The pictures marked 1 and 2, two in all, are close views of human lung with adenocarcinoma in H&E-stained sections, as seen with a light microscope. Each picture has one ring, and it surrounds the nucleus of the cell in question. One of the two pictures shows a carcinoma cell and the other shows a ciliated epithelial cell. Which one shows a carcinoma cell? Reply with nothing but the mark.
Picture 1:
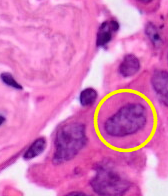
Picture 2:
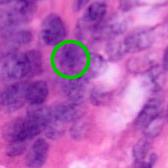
1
